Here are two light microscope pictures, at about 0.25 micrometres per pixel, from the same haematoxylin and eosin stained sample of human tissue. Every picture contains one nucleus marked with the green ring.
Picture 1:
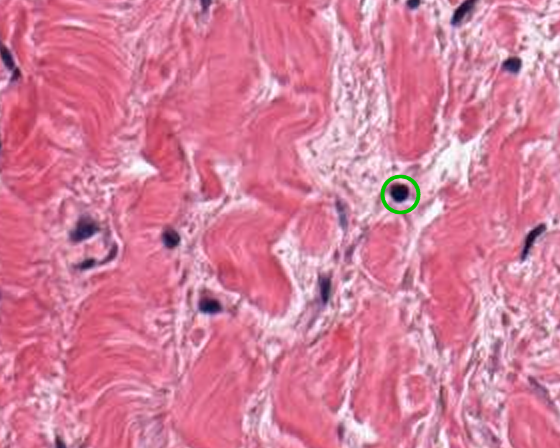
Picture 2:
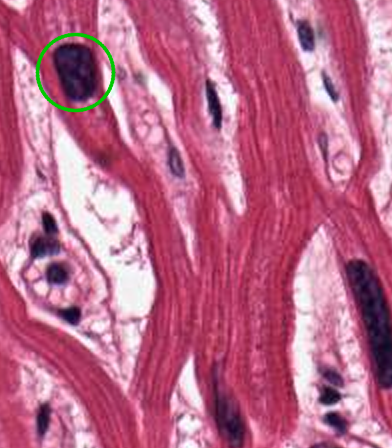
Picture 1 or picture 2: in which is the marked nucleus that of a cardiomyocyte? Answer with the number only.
2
